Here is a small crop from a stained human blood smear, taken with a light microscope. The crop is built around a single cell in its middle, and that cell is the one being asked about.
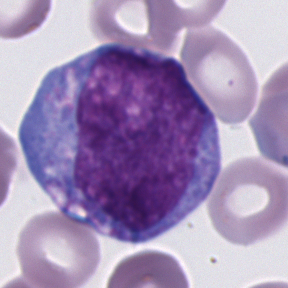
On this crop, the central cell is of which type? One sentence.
The cell at the centre of the field is a promyelocyte.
